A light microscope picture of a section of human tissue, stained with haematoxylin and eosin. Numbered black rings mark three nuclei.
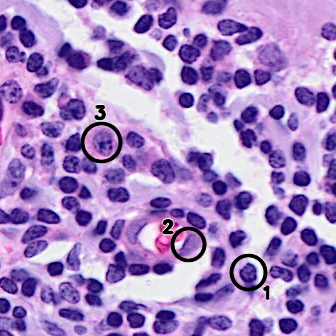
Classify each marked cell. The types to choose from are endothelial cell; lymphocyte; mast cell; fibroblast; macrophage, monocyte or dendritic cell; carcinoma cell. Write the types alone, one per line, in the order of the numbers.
lymphocyte
endothelial cell
mast cell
